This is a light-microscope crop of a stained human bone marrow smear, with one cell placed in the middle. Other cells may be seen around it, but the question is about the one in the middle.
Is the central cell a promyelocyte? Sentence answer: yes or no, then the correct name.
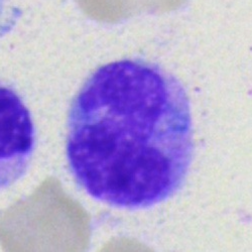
No, what sits in the centre of the crop is a monocyte rather than a promyelocyte.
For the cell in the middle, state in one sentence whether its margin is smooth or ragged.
Its surface contour is regular and smooth, without any protrusions.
